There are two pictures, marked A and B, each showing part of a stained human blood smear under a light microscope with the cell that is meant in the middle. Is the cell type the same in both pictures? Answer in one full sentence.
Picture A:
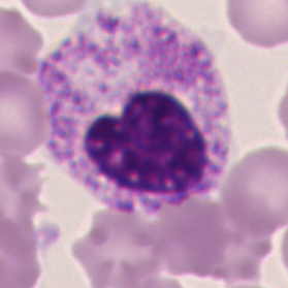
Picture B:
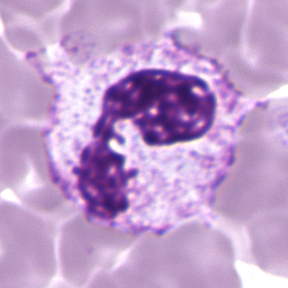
Yes, the two pictures both show segmented neutrophils.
